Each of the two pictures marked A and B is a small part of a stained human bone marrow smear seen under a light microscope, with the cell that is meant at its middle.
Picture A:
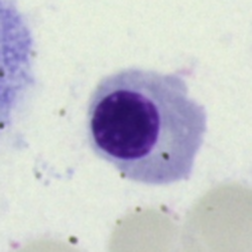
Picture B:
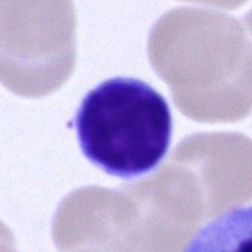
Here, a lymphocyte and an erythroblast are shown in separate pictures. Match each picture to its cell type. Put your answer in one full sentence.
It is picture A that shows an erythroblast, and picture B that shows a lymphocyte.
